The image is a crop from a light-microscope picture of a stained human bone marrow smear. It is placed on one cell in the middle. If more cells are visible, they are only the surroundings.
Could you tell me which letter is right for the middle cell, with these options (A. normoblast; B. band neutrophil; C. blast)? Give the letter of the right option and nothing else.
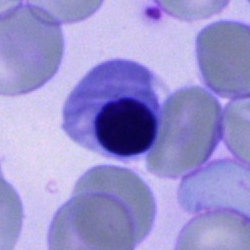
A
